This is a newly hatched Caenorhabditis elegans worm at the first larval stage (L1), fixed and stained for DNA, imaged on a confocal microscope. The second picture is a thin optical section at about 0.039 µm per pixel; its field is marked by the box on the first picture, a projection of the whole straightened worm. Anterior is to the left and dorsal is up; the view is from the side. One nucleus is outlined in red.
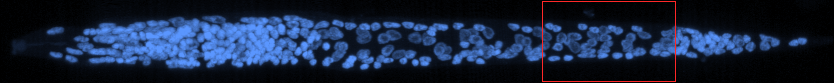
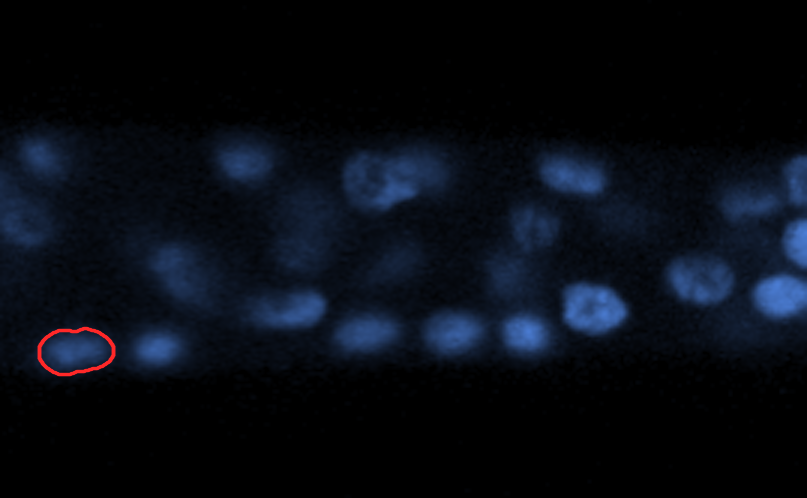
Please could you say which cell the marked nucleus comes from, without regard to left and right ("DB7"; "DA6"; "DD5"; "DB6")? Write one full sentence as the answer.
The marked nucleus belongs to DB6, a neuron.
